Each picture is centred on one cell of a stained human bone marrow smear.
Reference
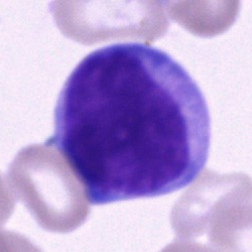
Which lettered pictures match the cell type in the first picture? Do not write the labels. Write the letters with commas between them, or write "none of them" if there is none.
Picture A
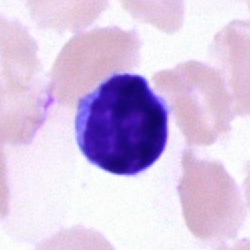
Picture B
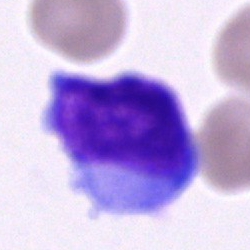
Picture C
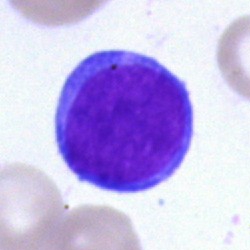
B, C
